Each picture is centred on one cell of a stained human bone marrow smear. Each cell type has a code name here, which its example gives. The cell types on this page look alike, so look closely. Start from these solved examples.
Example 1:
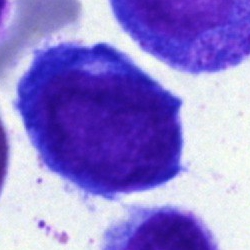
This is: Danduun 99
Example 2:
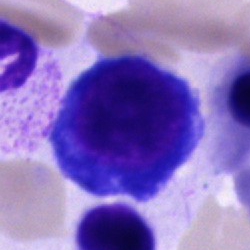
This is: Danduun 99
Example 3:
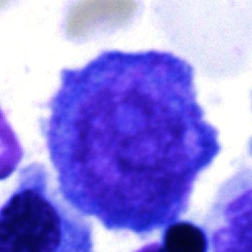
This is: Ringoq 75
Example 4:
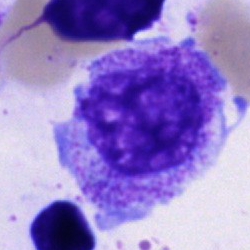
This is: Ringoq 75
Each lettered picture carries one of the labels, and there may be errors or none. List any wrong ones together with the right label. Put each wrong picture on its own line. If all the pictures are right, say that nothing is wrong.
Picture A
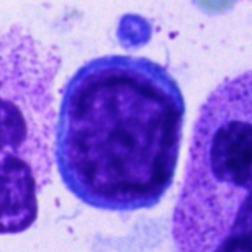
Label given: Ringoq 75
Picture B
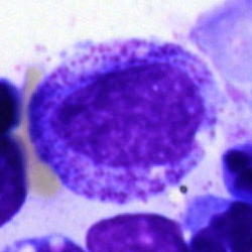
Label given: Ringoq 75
Wrong: A (Ringoq 75); correct: Danduun 99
